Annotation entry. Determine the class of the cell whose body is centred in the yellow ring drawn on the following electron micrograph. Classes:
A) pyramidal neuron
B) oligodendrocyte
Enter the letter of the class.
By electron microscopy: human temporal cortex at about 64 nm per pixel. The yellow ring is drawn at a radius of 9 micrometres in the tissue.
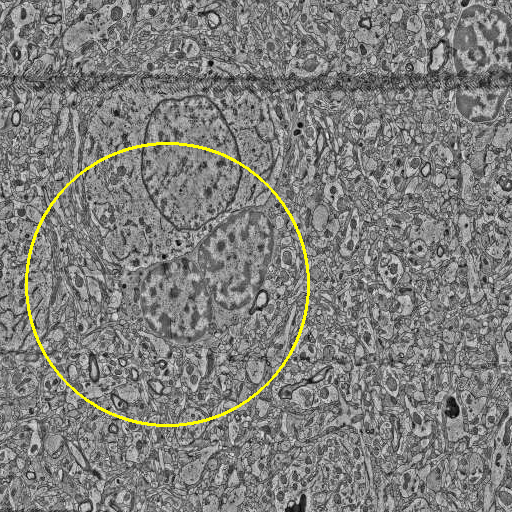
B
